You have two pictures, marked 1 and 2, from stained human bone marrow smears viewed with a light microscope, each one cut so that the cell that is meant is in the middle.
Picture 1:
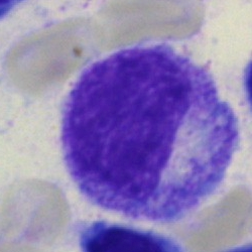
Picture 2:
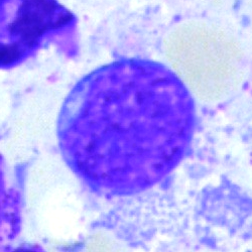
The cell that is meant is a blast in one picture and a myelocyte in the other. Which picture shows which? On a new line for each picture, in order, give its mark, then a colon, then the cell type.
1: myelocyte
2: blast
